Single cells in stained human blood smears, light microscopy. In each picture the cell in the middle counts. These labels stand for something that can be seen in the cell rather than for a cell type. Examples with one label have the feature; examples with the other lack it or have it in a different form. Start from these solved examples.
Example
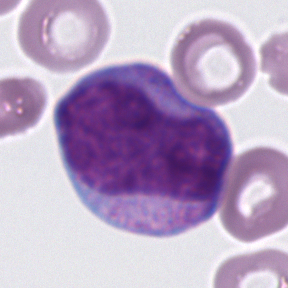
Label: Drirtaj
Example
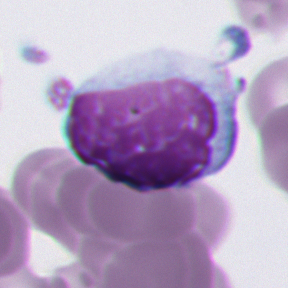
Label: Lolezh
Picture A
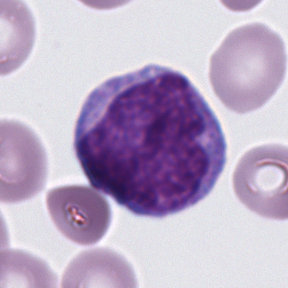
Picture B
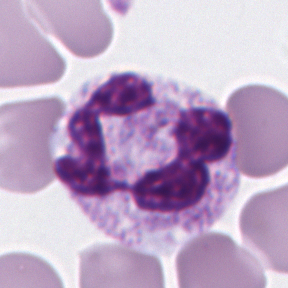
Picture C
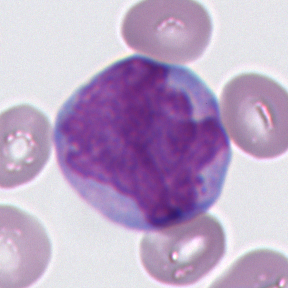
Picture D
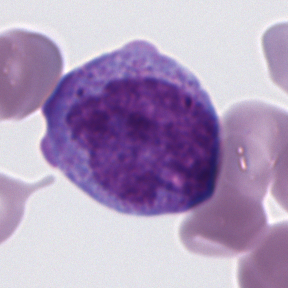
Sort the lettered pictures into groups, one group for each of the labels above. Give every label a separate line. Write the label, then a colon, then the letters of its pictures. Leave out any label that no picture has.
Drirtaj: A, B, C
Lolezh: D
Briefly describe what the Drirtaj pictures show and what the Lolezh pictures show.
Drirtaj, smooth outline; Lolezh, ragged outline or projections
